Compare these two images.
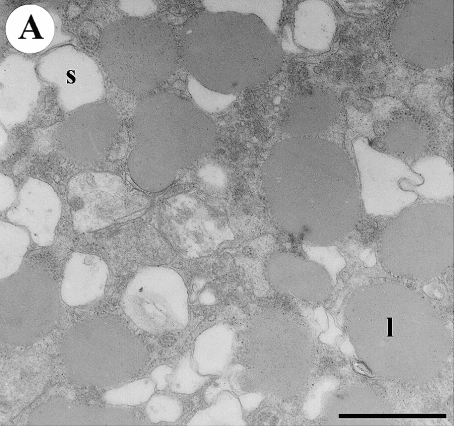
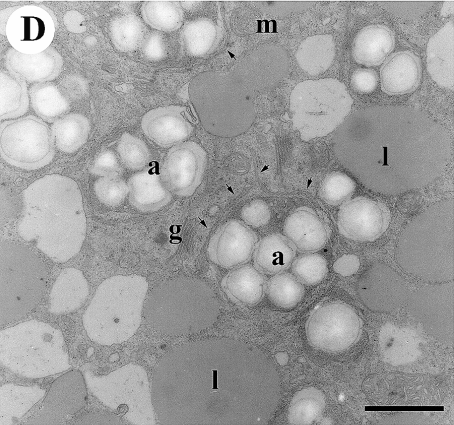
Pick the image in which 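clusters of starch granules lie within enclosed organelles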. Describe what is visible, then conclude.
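Second image: several organelles each hold a cluster of many bright round granules. First image: only grey round bodies and irregular pale spaces, no granule clusters. The answer: the second image.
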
